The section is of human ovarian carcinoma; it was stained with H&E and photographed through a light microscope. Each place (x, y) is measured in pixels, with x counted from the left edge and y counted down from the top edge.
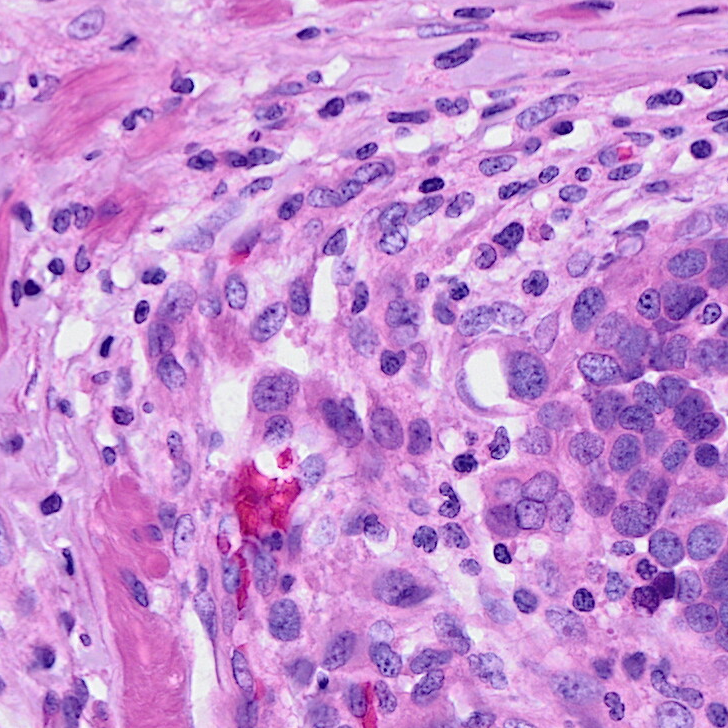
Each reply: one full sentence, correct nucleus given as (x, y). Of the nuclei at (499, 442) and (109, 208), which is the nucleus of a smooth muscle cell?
Of the two nuclei, the one sitting at (109, 208) belongs to a smooth muscle cell.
